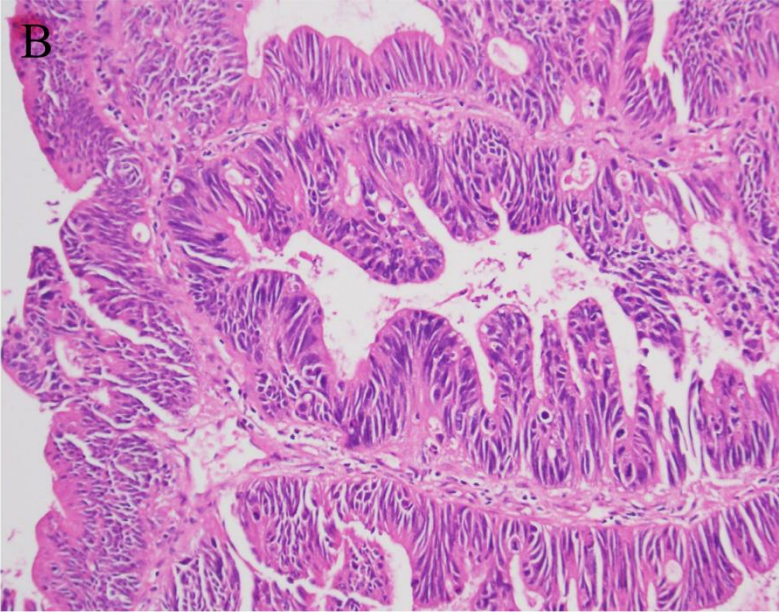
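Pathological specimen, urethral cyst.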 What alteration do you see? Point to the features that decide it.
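Tall columnar cells with crowded, elongated, pseudostratified nuclei line glandular spaces. Epithelium forms branching, folded gland-like structures separated by thin strands of stroma. Nuclei are hyperchromatic and stacked several layers deep.
Answer: intestinal-type adenocarcinoma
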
